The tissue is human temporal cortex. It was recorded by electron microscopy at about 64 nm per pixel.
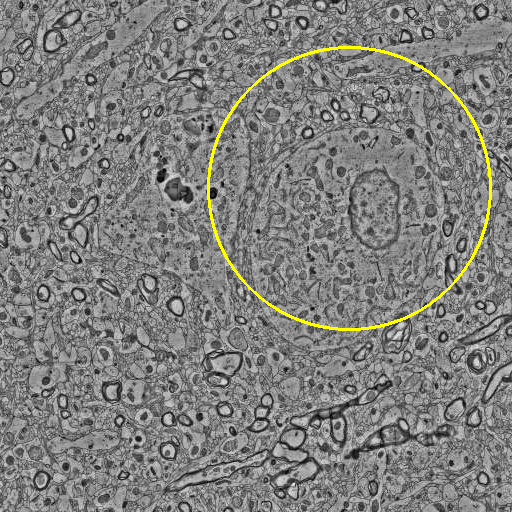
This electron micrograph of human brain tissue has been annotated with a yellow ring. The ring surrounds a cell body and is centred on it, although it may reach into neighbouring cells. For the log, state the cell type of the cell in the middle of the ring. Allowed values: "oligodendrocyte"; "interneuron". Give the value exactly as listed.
interneuron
